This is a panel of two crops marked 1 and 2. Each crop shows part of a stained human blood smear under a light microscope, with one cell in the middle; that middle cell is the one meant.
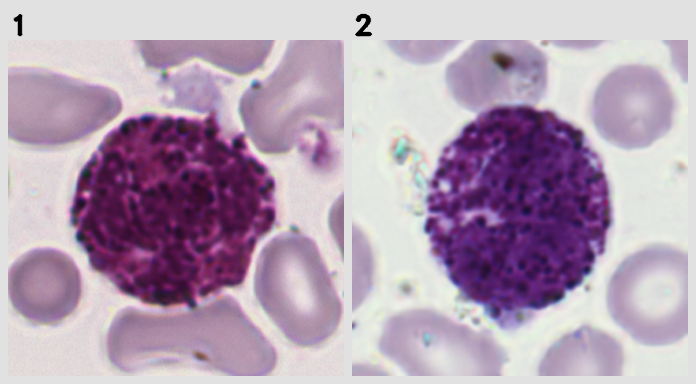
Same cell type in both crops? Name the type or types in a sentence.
Yes, both crops show basophils, and that holds for each one.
